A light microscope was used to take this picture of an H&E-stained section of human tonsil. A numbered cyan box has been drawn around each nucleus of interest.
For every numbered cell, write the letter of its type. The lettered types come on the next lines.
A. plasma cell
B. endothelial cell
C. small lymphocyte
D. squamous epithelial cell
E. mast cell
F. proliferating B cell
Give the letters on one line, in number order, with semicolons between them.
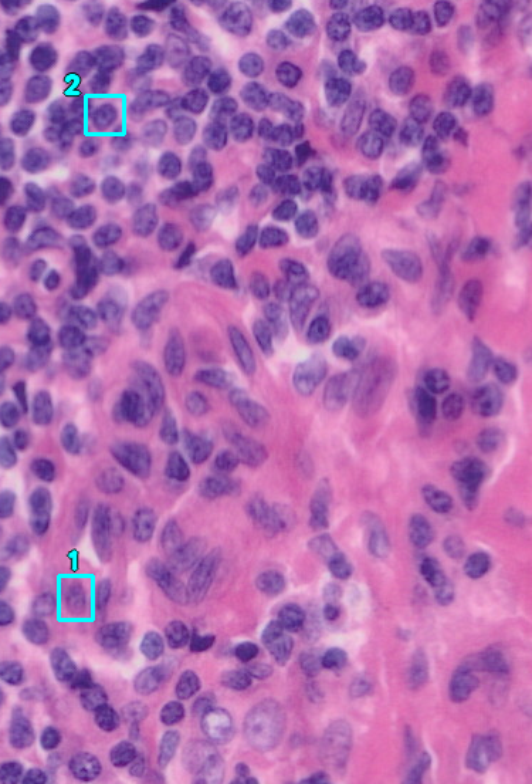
B; C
